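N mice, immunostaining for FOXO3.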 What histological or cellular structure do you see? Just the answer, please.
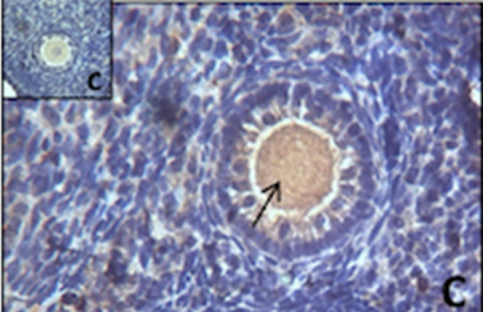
Secondary follicles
